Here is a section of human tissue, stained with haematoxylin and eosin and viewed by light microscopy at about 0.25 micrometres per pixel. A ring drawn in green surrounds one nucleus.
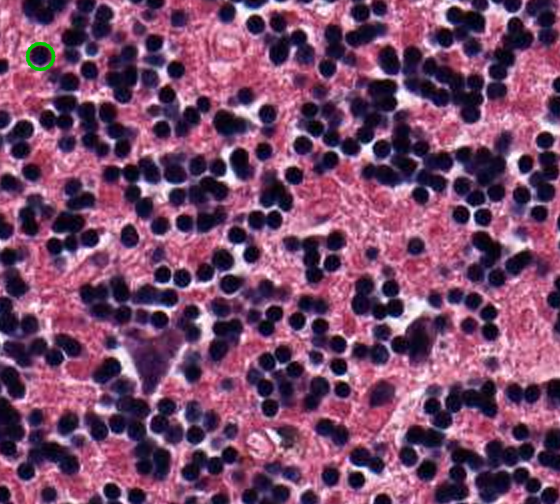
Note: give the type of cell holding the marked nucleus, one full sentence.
It is a cerebellar granule cell that the marked nucleus belongs to.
